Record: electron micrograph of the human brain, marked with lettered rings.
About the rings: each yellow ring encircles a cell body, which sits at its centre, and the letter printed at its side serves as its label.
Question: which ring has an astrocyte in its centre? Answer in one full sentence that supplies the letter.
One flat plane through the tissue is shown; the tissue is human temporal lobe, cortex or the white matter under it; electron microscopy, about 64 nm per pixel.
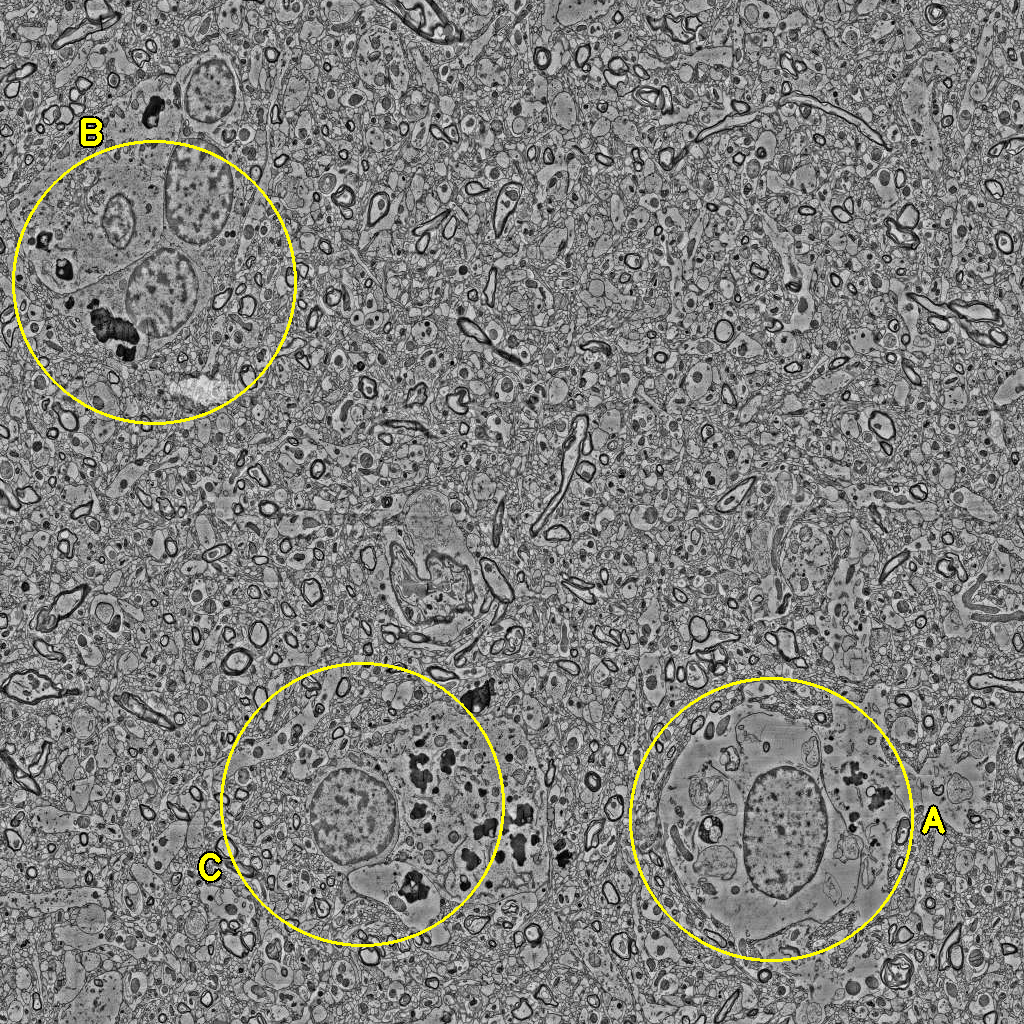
Within the picture, a cell of that kind is centred inside the ring marked A.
